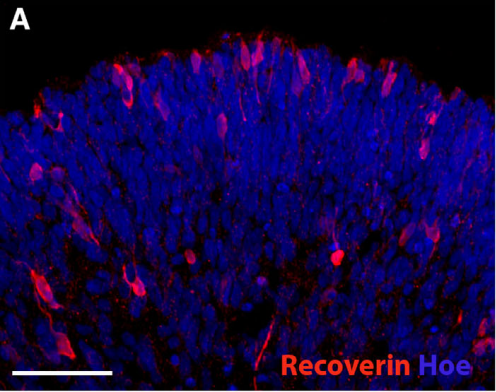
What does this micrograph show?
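The blue nuclei are elongated and packed tightly in many rows, all lying roughly perpendicular to the curved outer surface at the top, giving the layer a radial, pseudostratified look. Among them, individual red cells stand out. Many sit at or just beneath the outer surface, their bodies slender and drawn out along the radial axis. Others lie deeper in the layer, some with thin red processes reaching toward the surface. Most of the nuclei around them are unlabelled, so the red cells are a minority within the layer.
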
